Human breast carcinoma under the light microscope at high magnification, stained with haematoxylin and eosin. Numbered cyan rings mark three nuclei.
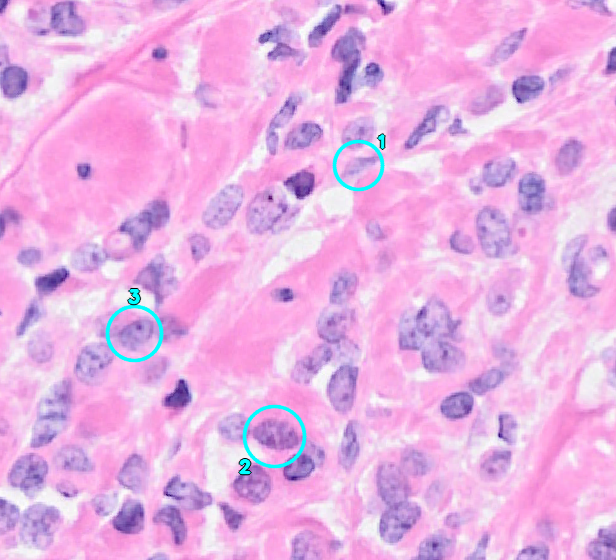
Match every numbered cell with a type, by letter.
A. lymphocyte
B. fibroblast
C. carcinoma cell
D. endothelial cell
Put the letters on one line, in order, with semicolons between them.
B; C; C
